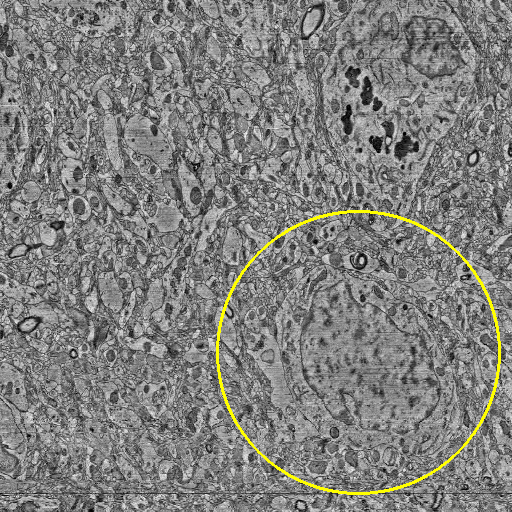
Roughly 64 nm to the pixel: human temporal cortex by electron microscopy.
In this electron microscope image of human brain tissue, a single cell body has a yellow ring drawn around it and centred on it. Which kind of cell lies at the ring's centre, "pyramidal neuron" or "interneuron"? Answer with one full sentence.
It is an interneuron whose cell body lies at the centre of the yellow ring here.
